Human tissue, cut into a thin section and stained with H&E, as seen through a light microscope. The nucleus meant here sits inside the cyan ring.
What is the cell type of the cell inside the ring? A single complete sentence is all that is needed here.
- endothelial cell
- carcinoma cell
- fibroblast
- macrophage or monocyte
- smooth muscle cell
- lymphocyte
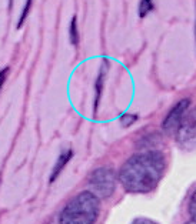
Cytologically, the cell inside the ring is to be regarded as a fibroblast.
